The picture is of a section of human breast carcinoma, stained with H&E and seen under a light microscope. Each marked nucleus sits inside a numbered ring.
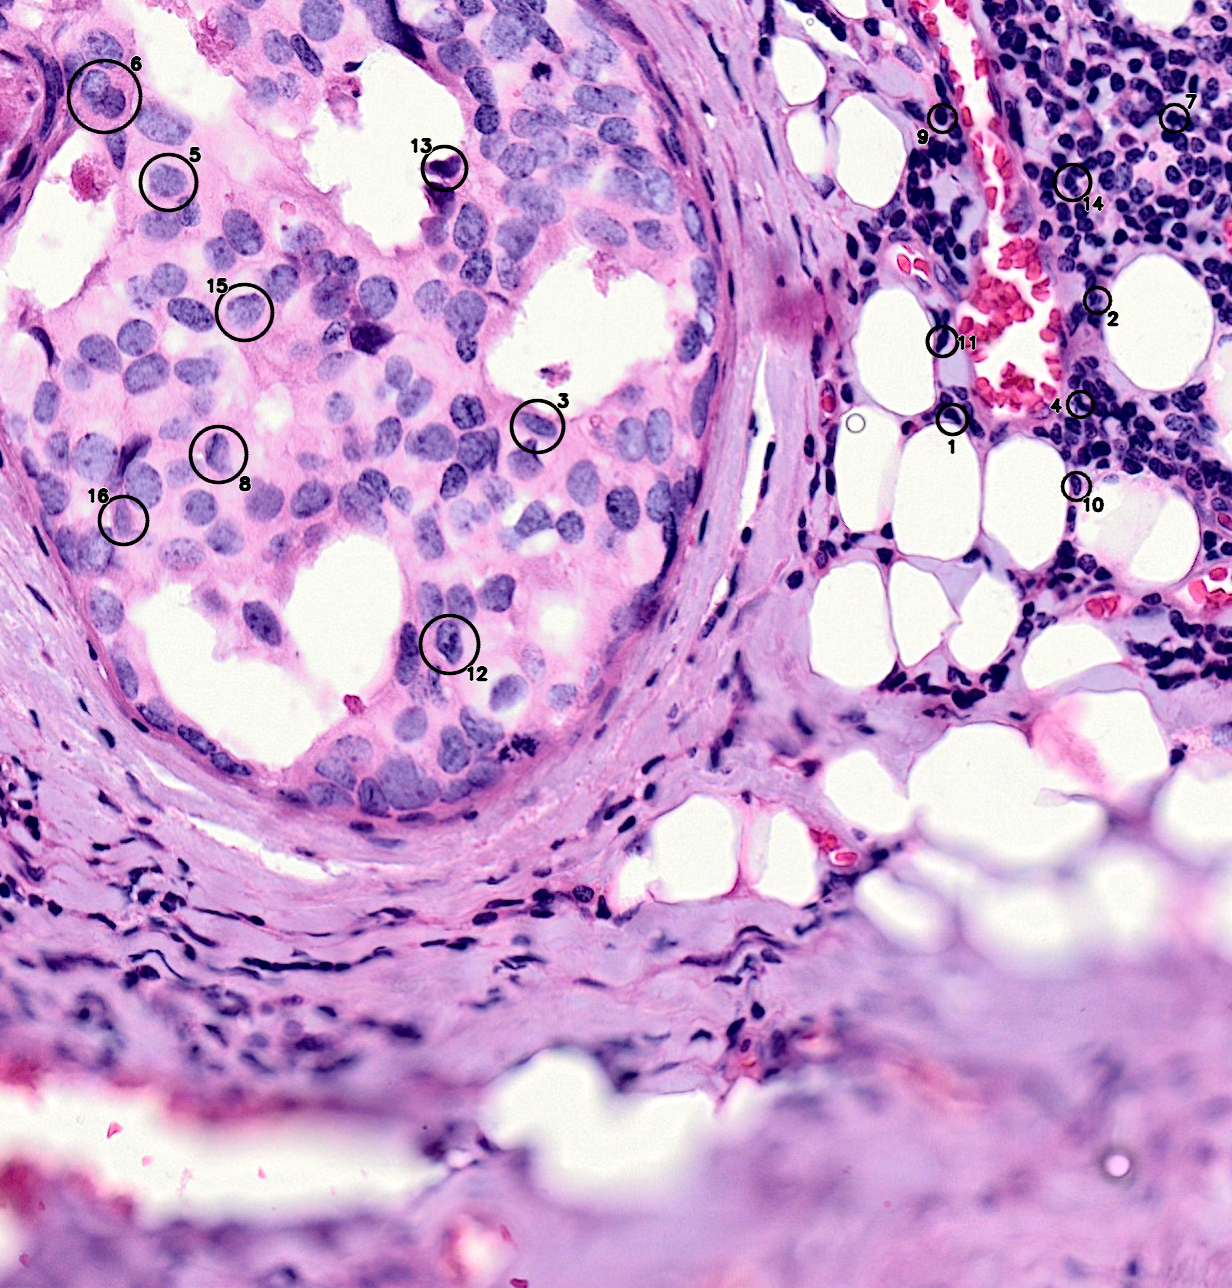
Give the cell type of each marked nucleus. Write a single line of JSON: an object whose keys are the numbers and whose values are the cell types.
{"1": "lymphocyte", "2": "lymphocyte", "3": "carcinoma cell", "4": "lymphocyte", "5": "carcinoma cell", "6": "carcinoma cell", "7": "lymphocyte", "8": "carcinoma cell", "9": "lymphocyte", "10": "lymphocyte", "11": "lymphocyte", "12": "carcinoma cell", "13": "carcinoma cell", "14": "lymphocyte", "15": "carcinoma cell", "16": "carcinoma cell"}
